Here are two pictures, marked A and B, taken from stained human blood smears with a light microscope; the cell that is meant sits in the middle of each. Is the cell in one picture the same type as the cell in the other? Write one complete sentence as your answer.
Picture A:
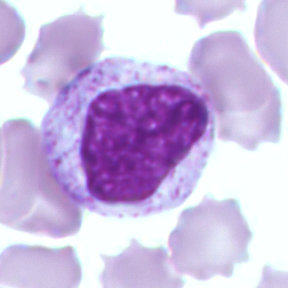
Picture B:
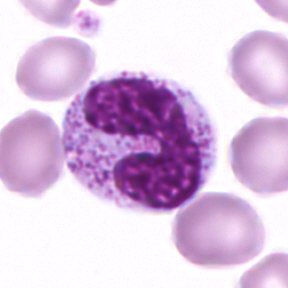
No, they differ: the cell is a metamyelocyte in picture A and a band neutrophil in picture B.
